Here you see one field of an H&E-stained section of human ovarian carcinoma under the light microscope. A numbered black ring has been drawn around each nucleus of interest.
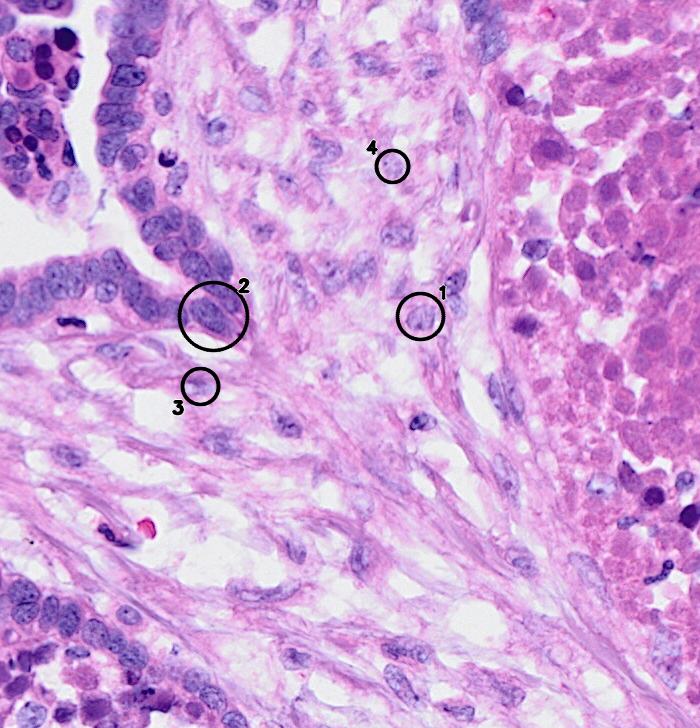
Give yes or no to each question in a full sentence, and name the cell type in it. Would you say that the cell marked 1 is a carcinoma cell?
No, cell 1 does not represent a carcinoma cell; it represents a fibroblast.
